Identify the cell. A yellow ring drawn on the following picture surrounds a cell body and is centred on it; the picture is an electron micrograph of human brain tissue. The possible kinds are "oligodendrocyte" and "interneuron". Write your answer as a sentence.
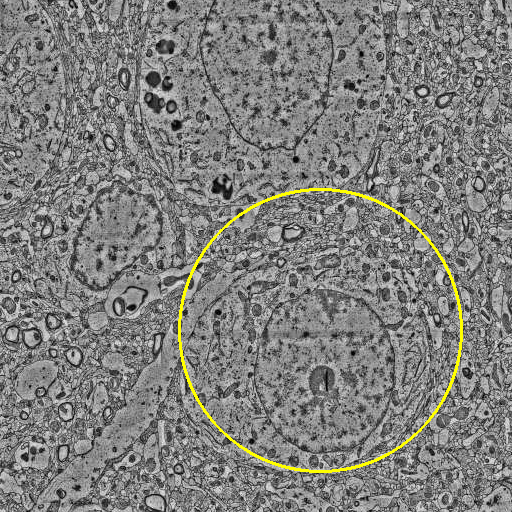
The cell identified by the ring is an interneuron.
